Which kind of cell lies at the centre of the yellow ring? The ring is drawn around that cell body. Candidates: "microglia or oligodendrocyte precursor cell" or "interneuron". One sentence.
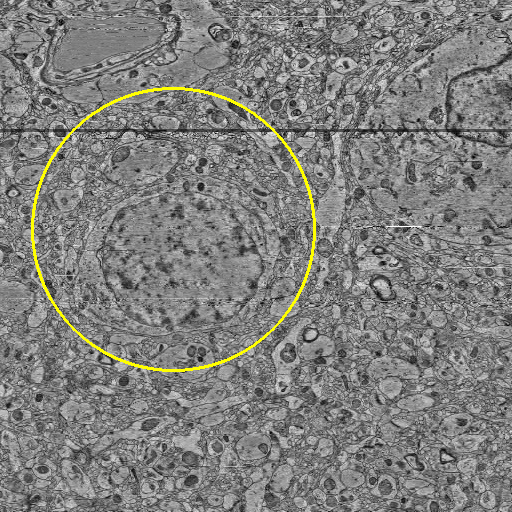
Lying at the centre of the ring is an interneuron.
